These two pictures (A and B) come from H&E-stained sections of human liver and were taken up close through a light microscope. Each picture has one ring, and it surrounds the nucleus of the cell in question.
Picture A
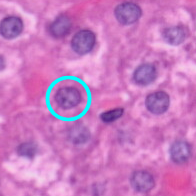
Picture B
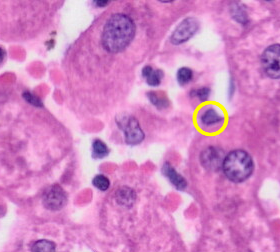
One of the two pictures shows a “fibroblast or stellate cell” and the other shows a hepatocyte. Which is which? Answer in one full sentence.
In picture A the cell is a hepatocyte; in picture B, a “fibroblast or stellate cell”.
